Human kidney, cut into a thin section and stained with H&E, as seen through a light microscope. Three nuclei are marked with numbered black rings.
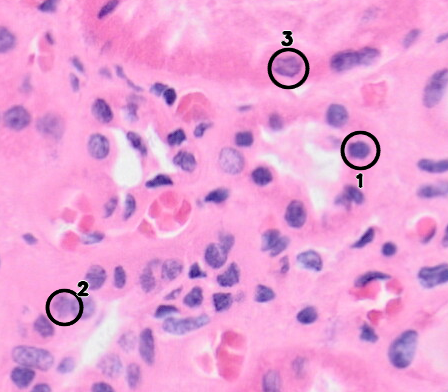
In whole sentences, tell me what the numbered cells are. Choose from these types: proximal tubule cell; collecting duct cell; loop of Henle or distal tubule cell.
Cell 1 is a loop of Henle or distal tubule cell, cell 2 is a collecting duct cell and cell 3 is a proximal tubule cell.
